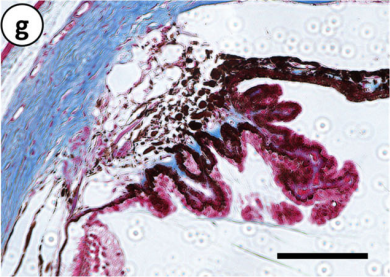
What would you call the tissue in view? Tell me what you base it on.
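Ciliary body. A cluster of branching, folded processes with red-stained epithelium. Heavy dark brown pigment at the base and along the folds. A blue-stained fibrous band runs along the left side.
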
